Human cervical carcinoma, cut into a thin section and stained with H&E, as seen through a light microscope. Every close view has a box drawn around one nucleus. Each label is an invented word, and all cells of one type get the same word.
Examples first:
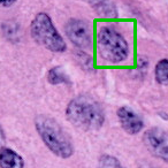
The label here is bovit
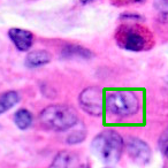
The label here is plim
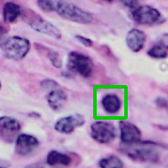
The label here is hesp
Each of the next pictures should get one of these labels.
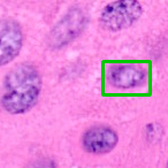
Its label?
bovit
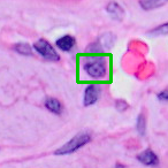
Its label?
plim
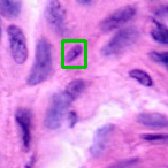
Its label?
bovit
